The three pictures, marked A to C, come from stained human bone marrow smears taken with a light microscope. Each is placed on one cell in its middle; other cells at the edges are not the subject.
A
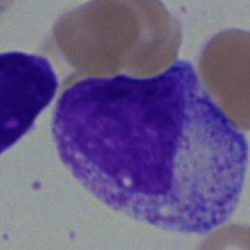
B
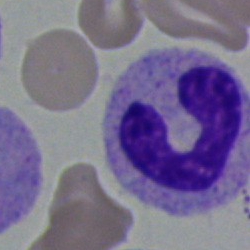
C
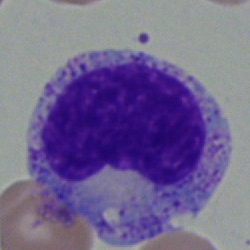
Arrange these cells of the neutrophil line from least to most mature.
A, C, B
